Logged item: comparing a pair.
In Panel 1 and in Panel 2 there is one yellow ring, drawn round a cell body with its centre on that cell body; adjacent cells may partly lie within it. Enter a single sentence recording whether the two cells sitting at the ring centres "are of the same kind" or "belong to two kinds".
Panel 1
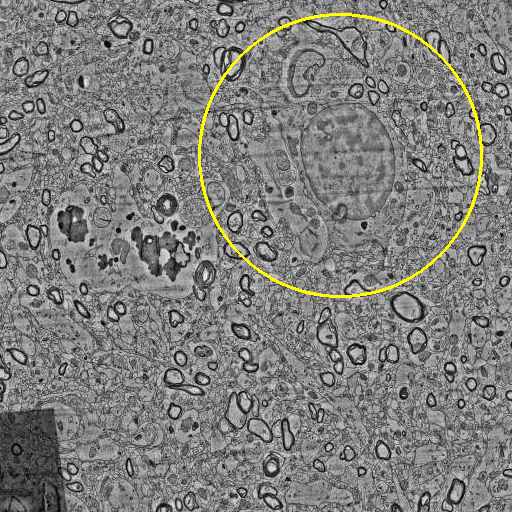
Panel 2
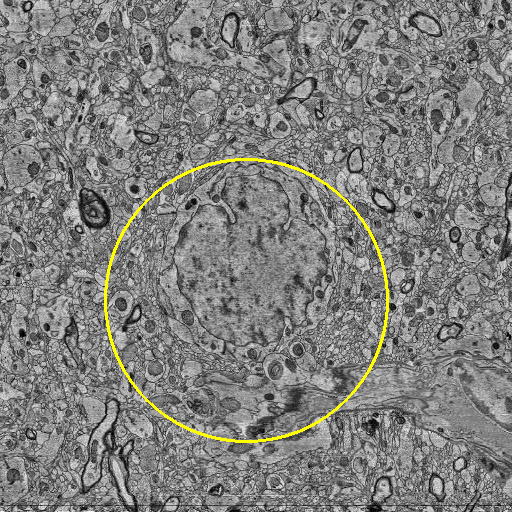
Logged: the cells centred in the rings of Panel 1 and Panel 2 belong to two kinds.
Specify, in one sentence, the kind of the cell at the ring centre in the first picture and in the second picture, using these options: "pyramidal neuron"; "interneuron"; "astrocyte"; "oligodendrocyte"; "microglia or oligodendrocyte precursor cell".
So the first is an oligodendrocyte, the second an interneuron.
